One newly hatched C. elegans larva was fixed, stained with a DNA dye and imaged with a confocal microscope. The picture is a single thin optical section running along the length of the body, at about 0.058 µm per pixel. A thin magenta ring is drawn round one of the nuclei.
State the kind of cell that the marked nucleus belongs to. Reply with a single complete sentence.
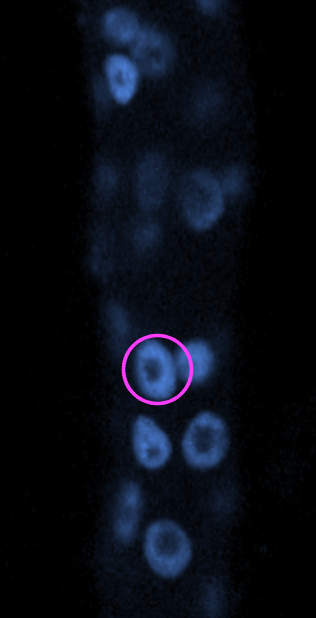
The marked nucleus belongs to a seam cell.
